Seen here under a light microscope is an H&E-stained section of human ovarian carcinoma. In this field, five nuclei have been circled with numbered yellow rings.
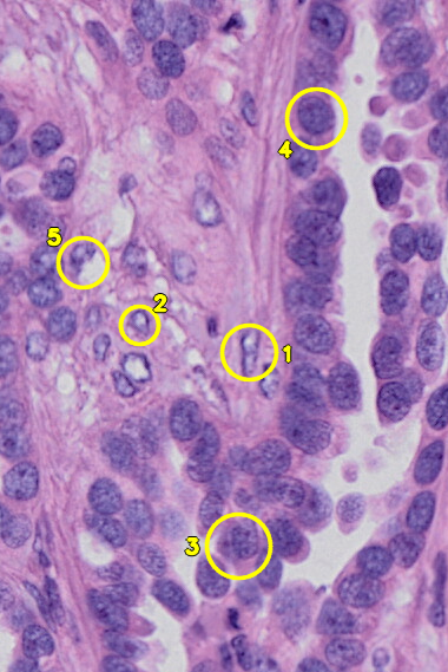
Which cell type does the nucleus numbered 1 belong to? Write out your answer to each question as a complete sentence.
The one labeled 1 is a fibroblast, to put it simply.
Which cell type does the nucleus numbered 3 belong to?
The one labeled 3 is a carcinoma cell, to put it simply.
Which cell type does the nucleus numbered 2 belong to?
The one labeled 2 is a fibroblast, to put it simply.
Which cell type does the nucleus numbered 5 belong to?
The cell to which the number 5 is assigned is a fibroblast.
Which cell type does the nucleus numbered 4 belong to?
The cell numbered 4 represents a carcinoma cell.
